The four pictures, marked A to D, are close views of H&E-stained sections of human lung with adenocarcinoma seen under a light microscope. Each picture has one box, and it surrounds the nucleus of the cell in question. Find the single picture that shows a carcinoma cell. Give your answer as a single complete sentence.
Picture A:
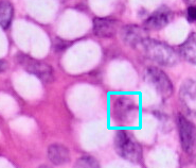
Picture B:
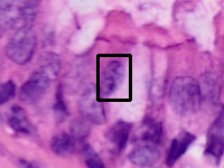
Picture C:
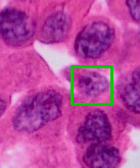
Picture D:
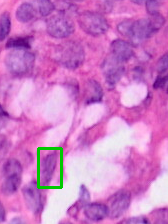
Picture C is the one that shows the carcinoma cell.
